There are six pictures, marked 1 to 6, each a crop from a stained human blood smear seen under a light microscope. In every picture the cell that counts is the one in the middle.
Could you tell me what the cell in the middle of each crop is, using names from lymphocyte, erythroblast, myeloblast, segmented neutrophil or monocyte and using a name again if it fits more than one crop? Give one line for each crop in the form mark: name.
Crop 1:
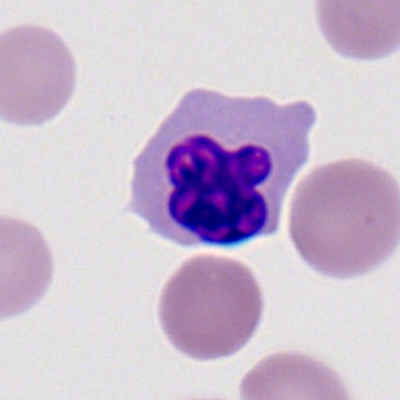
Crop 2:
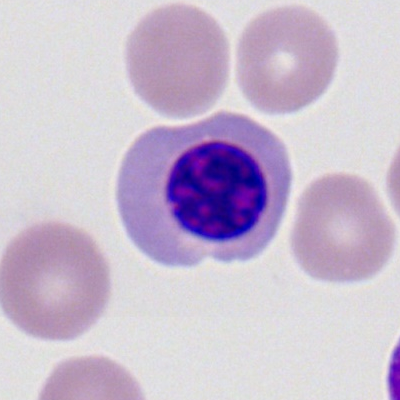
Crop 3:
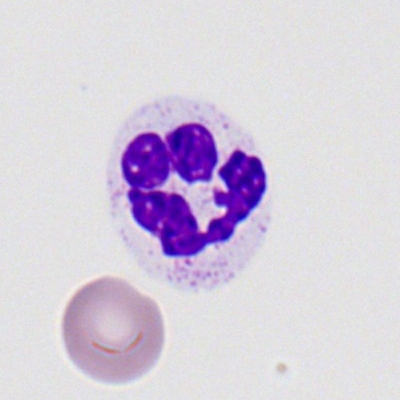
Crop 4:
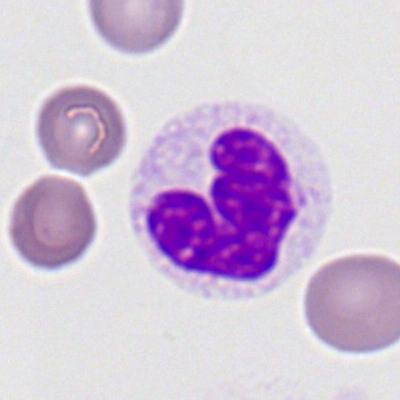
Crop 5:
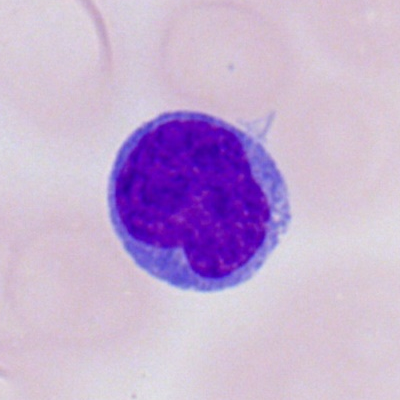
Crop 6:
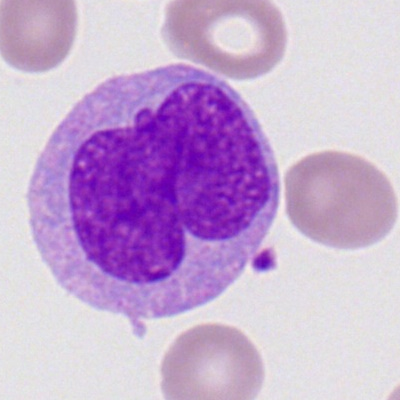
1: erythroblast
2: erythroblast
3: segmented neutrophil
4: segmented neutrophil
5: lymphocyte
6: monocyte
